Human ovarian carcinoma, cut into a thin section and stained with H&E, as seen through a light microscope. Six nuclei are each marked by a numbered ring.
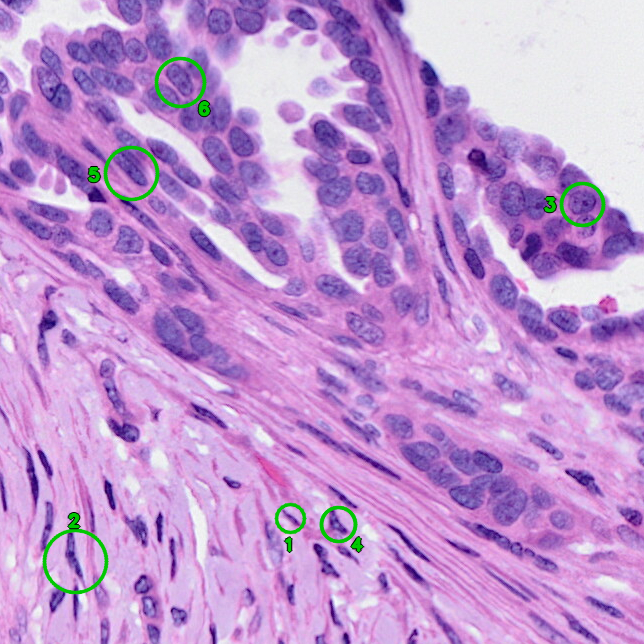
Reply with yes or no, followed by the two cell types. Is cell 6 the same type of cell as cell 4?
No, classify cell 6 as a carcinoma cell and cell 4 as a fibroblast.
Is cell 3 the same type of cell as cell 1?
No, the cell numbered 3 is a carcinoma cell, and the cell numbered 1 is a fibroblast.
